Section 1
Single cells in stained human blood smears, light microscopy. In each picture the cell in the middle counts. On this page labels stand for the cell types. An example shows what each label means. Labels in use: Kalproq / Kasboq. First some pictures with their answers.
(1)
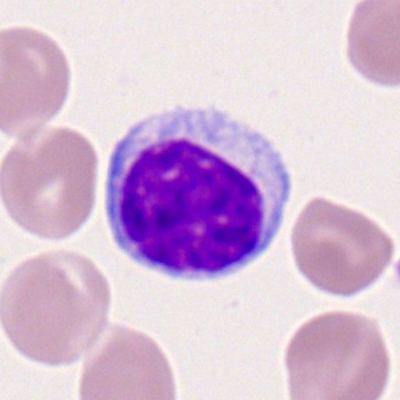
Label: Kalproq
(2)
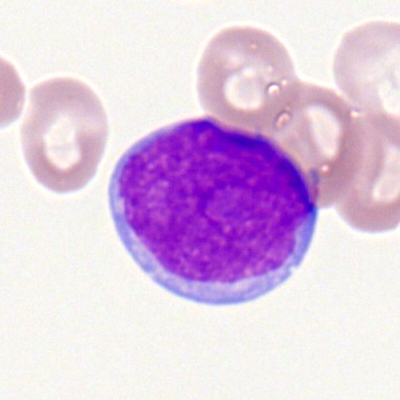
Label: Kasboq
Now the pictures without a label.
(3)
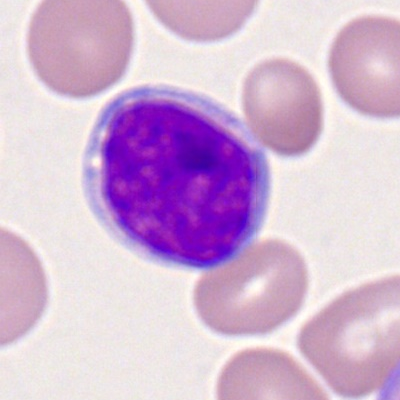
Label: Kasboq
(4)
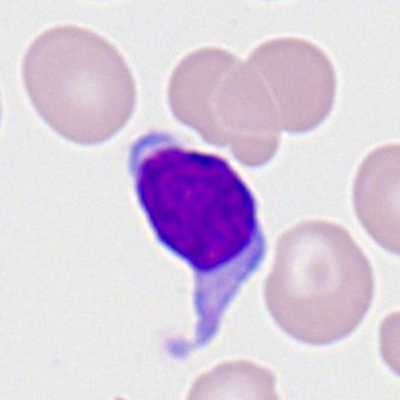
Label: Kalproq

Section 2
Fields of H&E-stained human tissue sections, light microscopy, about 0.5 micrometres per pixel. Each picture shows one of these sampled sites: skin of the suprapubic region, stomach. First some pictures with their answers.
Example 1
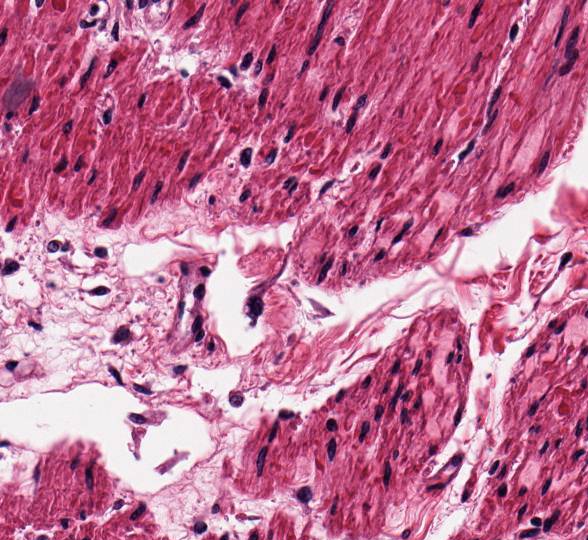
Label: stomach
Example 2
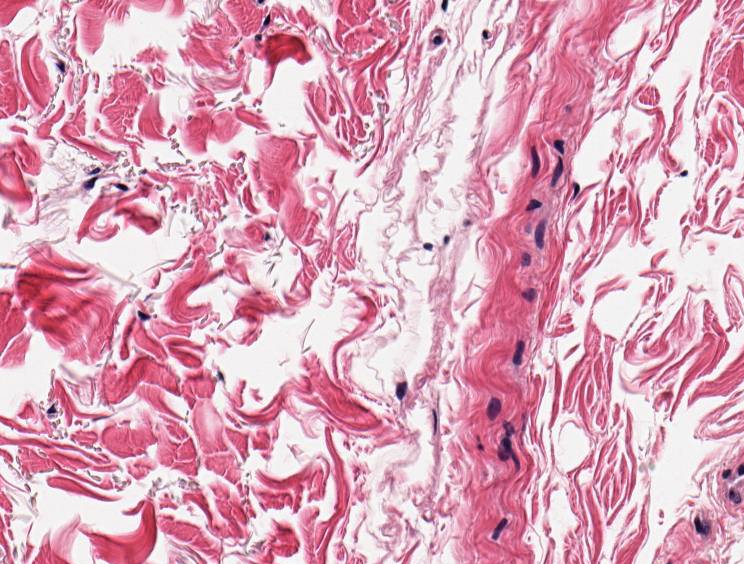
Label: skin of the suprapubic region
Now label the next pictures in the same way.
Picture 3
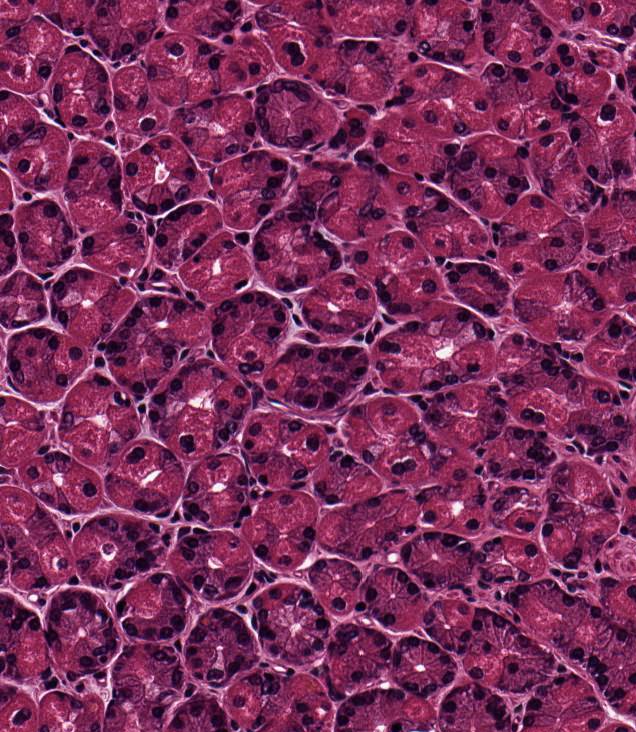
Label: stomach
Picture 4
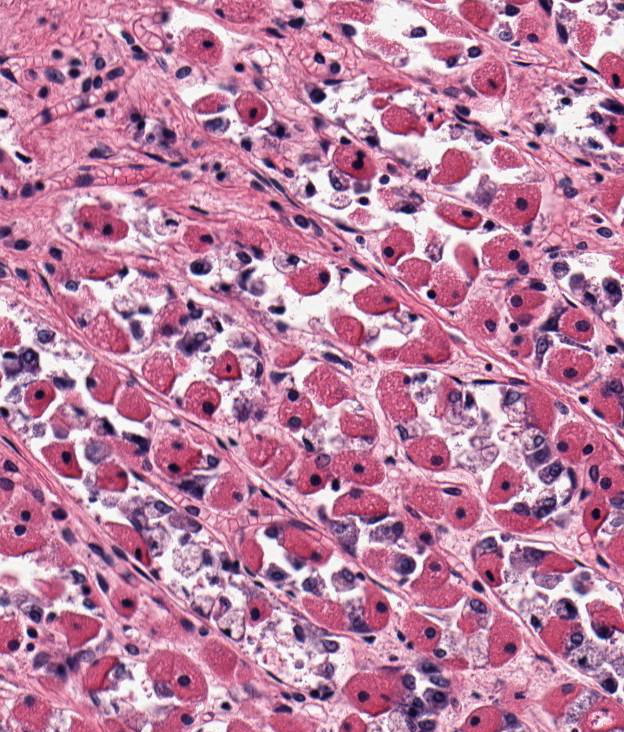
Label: stomach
